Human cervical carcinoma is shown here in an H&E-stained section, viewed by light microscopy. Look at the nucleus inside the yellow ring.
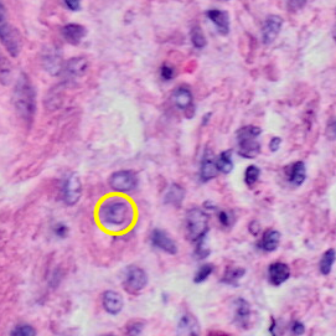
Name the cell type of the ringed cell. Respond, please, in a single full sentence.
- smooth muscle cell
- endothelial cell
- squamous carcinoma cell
Recorded by type, the ringed cell is an endothelial cell.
